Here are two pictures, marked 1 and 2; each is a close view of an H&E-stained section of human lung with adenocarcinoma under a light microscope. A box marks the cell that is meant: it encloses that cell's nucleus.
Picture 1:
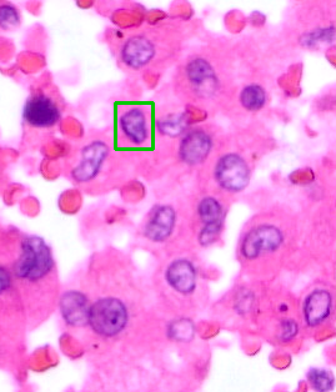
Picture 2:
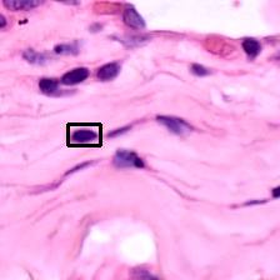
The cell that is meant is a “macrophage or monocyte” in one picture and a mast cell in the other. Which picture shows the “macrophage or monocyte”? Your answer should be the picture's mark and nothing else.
1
